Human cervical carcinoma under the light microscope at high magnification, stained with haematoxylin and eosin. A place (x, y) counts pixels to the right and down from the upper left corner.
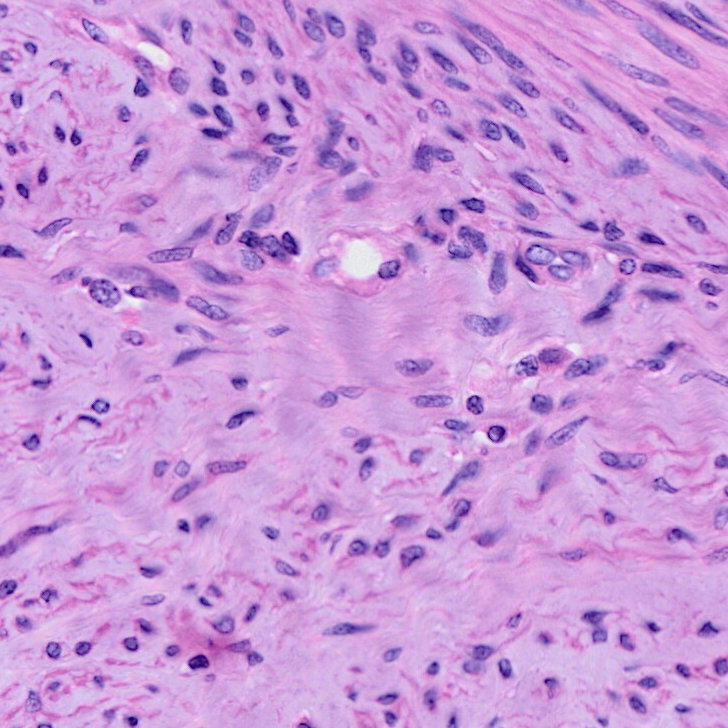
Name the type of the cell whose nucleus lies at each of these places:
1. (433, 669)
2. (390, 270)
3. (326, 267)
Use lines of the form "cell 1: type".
cell 1: smooth muscle cell
cell 2: endothelial cell
cell 3: endothelial cell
